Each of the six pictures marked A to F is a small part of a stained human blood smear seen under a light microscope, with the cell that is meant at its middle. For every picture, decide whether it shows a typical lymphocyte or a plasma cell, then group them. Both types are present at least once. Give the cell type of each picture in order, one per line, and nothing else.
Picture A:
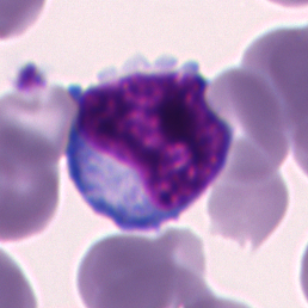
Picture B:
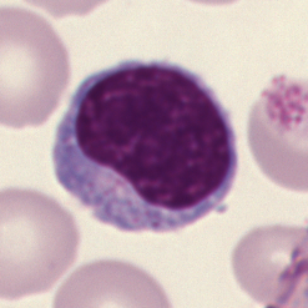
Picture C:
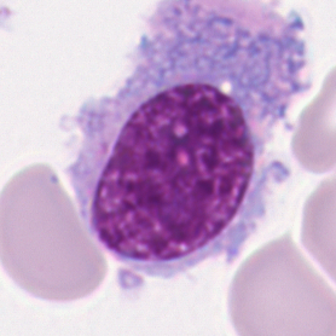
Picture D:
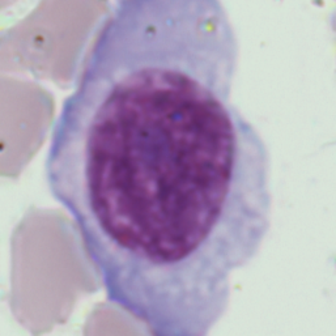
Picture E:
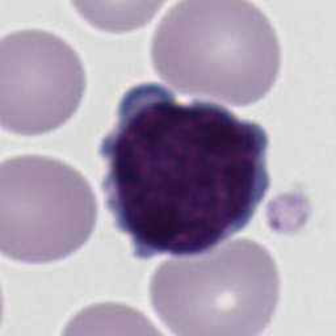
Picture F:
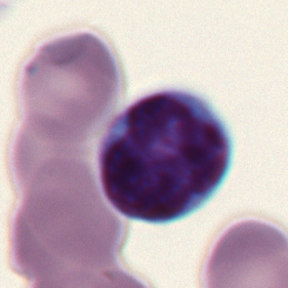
typical lymphocyte
typical lymphocyte
plasma cell
plasma cell
typical lymphocyte
typical lymphocyte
